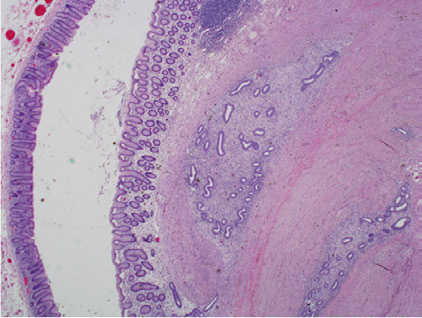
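At low power this is the wall of the appendix, with its mucosa on the left and a thick muscular wall on the right. The mucosa lines the lumen with regular, parallel crypts, and a purple lymphoid aggregate sits at its base. Deep within the pink muscle lie islands of small, bland glands.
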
